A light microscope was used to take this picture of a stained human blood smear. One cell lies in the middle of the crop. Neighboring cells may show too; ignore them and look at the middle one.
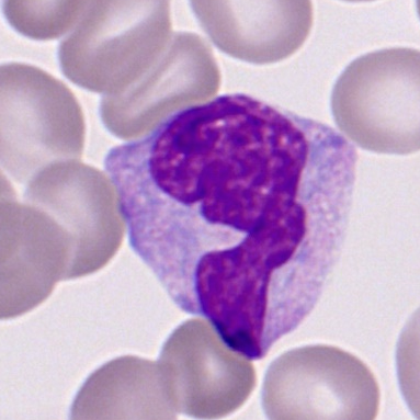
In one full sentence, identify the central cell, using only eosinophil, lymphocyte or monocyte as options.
The middle of this crop holds a monocyte.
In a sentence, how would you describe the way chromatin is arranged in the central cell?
The chromatin is fine; coarse clumps are not a feature here.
